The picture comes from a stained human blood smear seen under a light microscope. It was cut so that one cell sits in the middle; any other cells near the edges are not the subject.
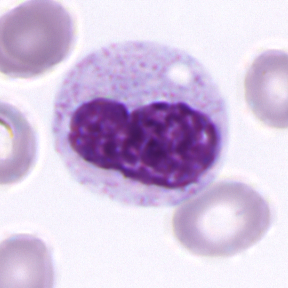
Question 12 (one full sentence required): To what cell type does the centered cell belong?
The cell shown in the center of this light-microscope crop is a band neutrophil.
